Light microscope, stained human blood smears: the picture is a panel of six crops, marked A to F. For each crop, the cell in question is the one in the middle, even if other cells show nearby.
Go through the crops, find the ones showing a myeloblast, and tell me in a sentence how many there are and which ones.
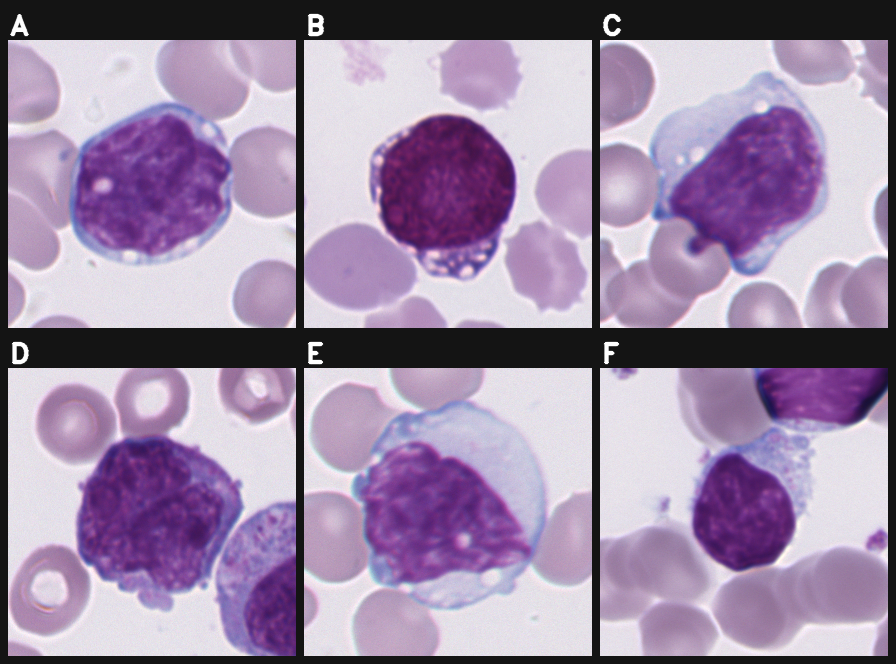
The crops labelled A, B, C and E show myeloblasts, four crops in total.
